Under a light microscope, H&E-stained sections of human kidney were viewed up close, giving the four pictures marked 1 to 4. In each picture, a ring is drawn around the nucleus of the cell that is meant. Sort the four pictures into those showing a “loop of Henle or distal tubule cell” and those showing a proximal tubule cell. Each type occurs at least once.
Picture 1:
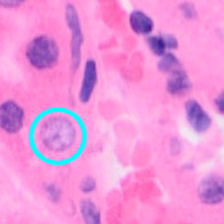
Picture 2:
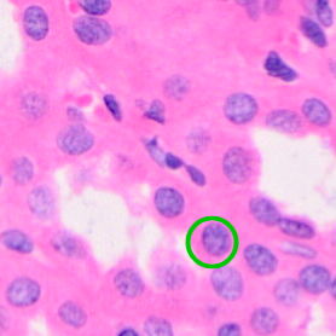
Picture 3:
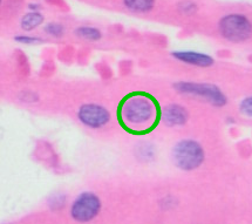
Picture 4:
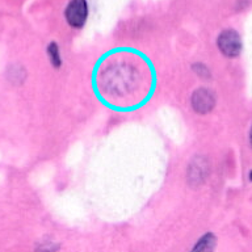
1: proximal tubule cell
2: loop of Henle or distal tubule cell
3: loop of Henle or distal tubule cell
4: proximal tubule cell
